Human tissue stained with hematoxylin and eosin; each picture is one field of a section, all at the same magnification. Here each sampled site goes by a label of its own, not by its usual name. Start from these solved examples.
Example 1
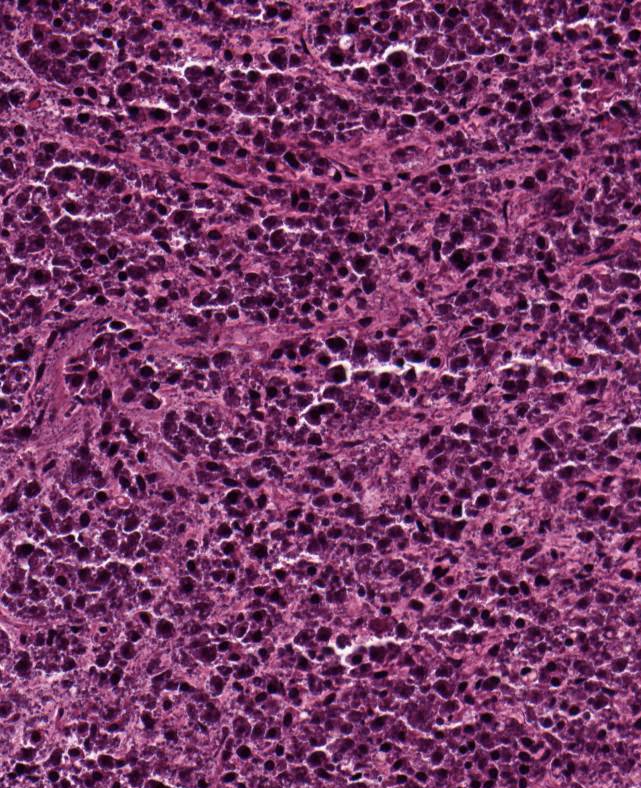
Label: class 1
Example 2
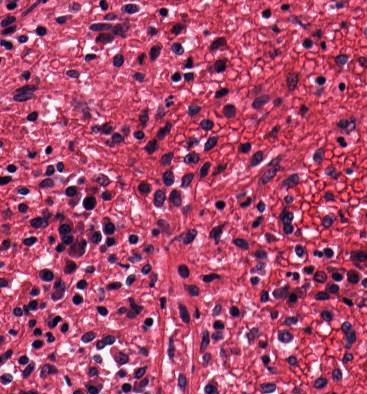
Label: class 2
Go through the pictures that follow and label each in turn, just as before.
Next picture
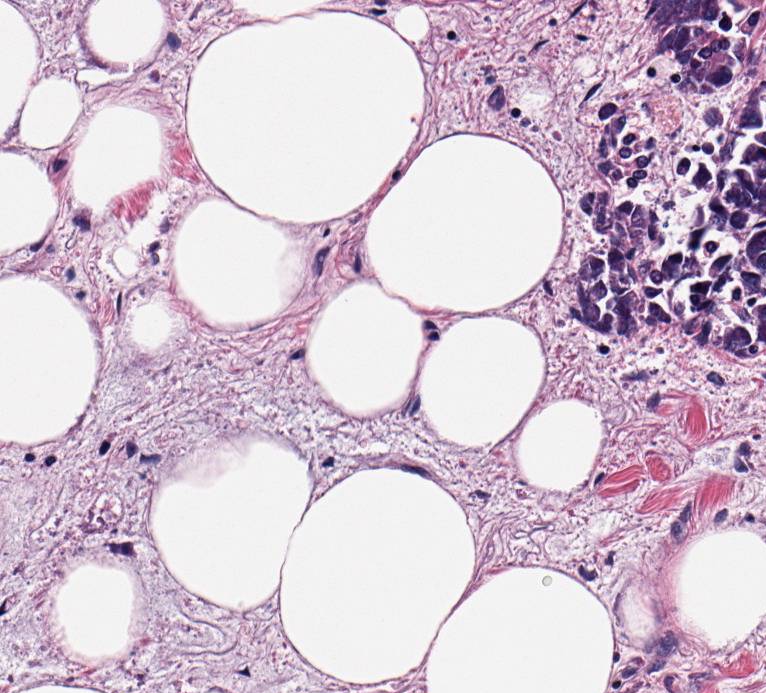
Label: class 1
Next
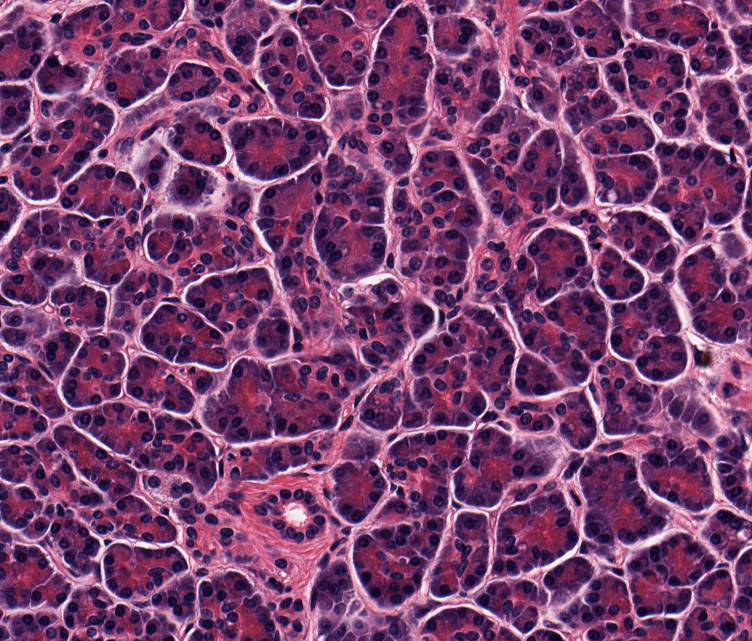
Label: class 1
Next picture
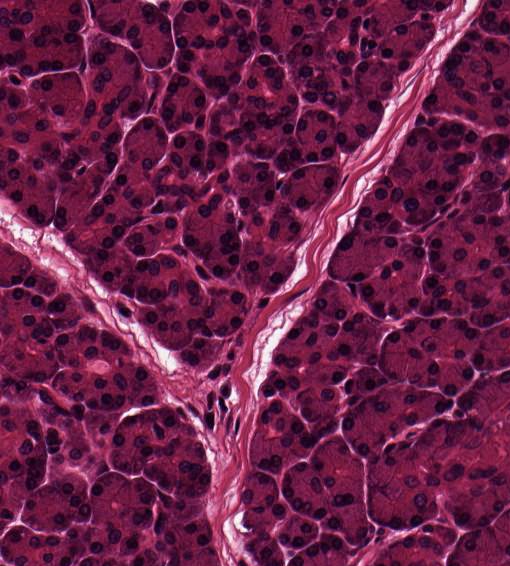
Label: class 1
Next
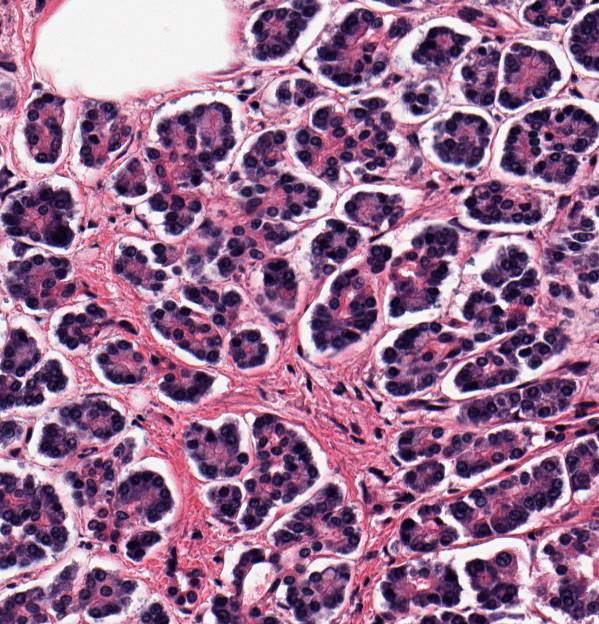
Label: class 1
